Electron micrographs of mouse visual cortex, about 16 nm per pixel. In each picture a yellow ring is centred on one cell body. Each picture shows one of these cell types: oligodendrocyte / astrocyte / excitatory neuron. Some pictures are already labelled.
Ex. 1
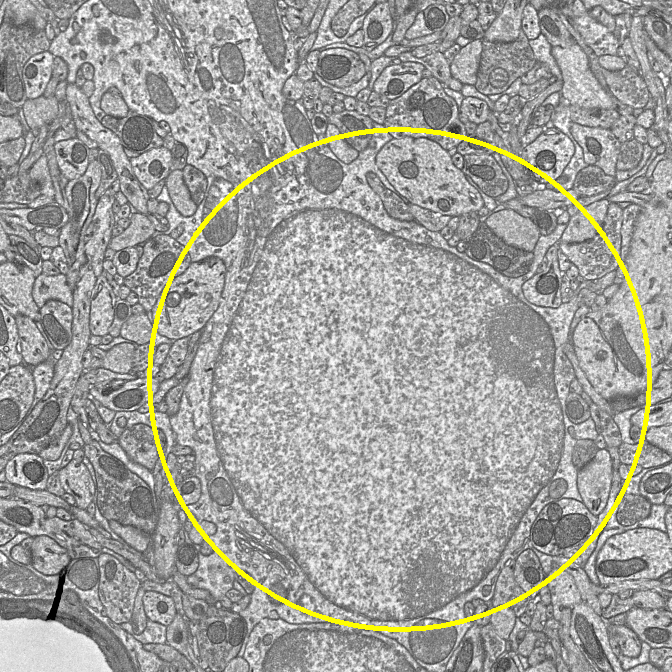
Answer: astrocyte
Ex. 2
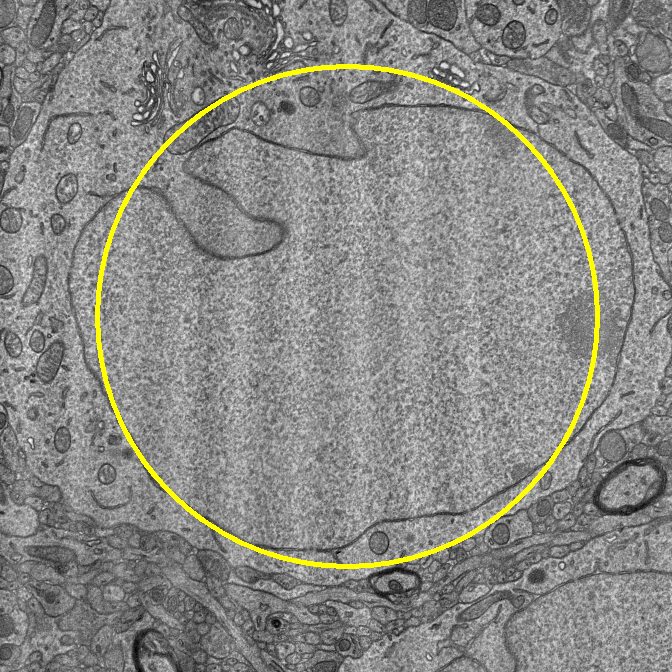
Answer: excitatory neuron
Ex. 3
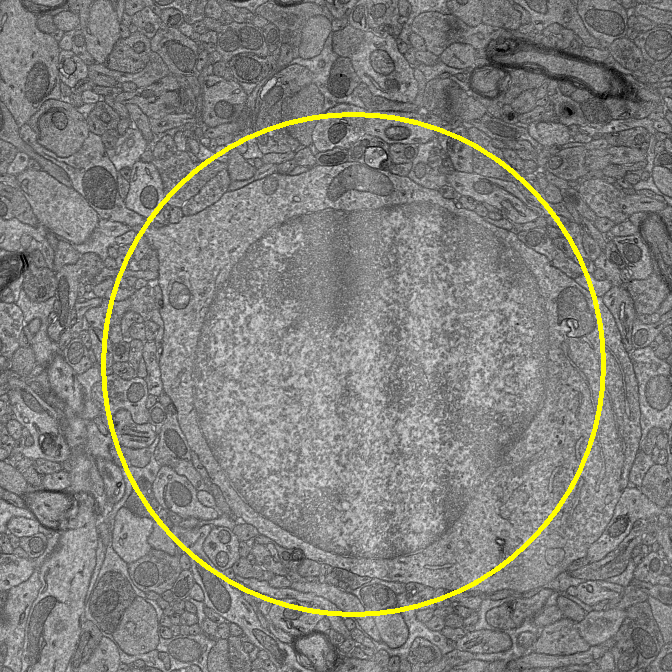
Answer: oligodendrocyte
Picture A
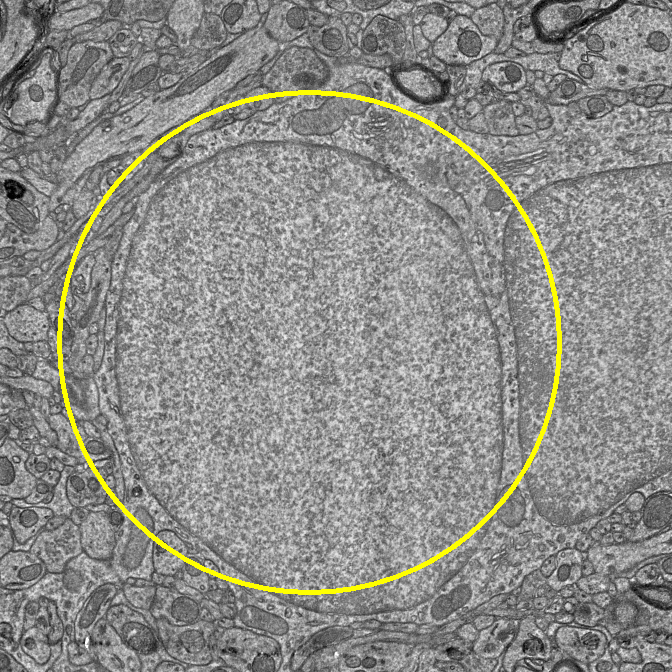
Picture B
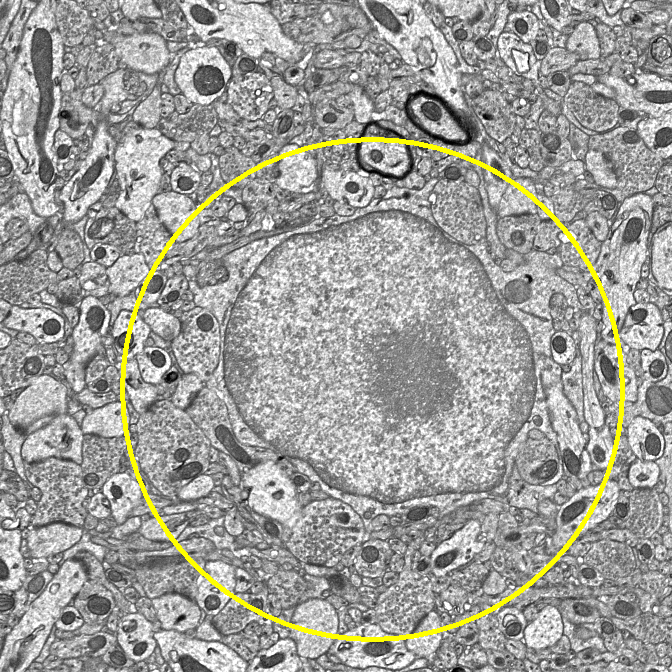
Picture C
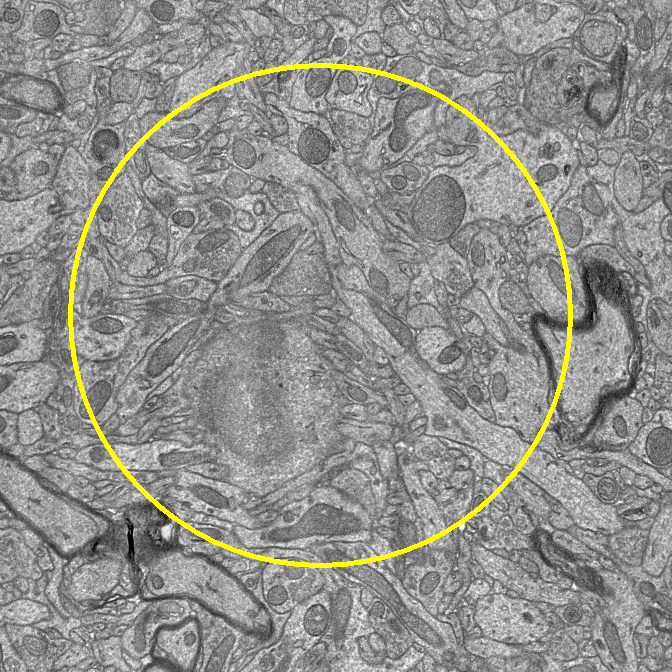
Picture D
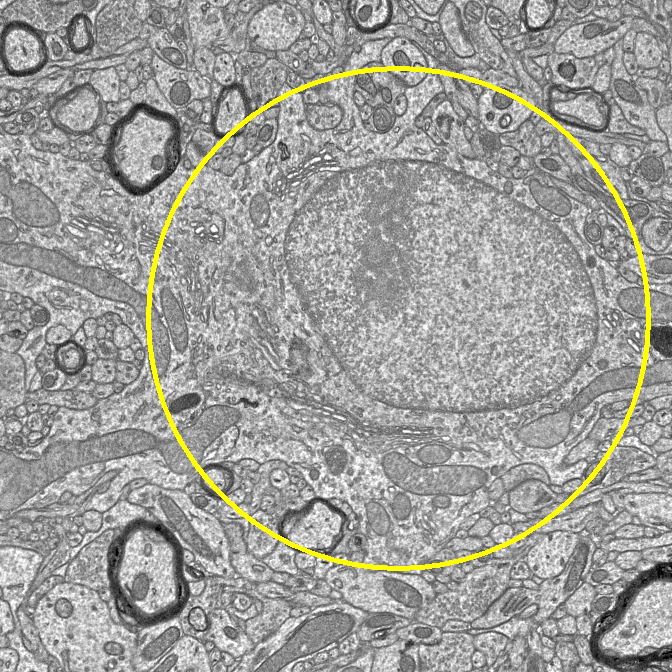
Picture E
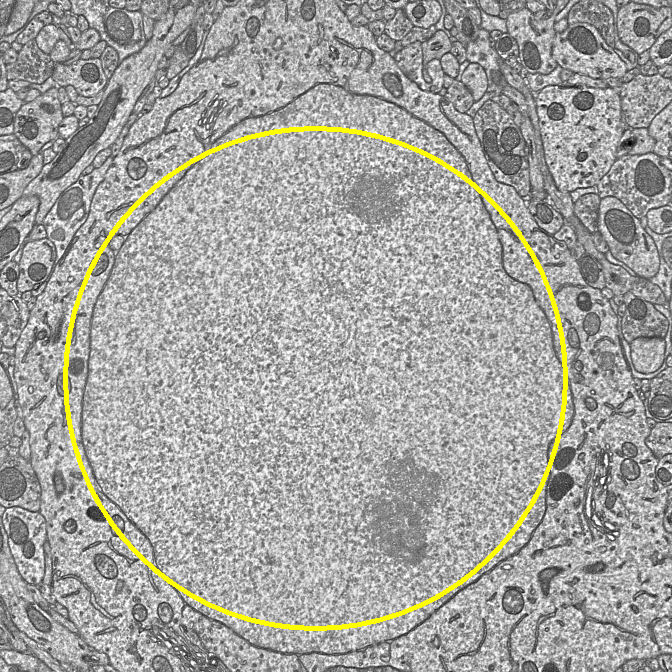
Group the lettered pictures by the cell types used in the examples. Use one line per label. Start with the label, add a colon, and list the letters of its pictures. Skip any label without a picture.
oligodendrocyte: C
astrocyte: A, B, D
excitatory neuron: E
